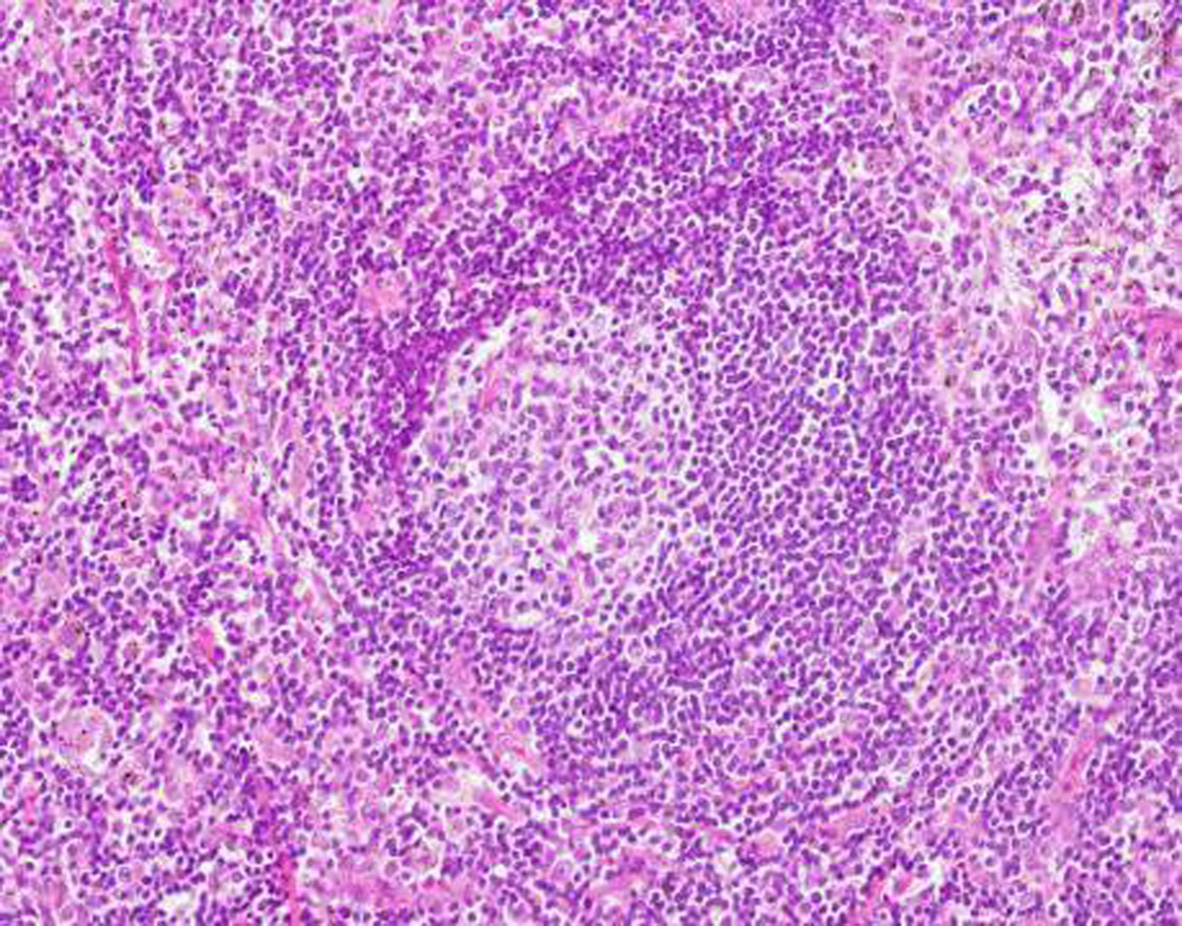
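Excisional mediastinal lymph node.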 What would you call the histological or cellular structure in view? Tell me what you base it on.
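A rounded pale central zone is surrounded by a broad mantle of small, dark, round nuclei. So: concentric rings of small lymphocytes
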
